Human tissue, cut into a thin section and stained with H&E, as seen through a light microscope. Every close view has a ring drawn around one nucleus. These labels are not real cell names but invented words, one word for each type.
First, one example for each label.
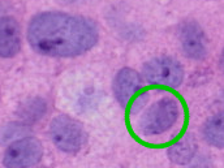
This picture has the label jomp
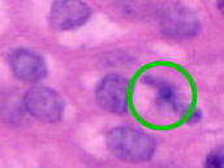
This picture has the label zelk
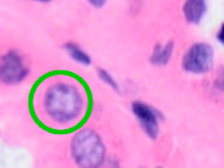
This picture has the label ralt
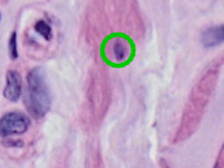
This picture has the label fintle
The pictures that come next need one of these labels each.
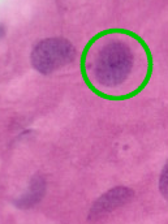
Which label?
zelk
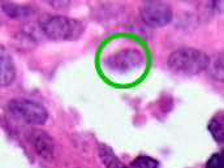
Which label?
jomp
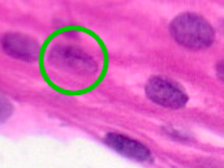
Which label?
zelk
